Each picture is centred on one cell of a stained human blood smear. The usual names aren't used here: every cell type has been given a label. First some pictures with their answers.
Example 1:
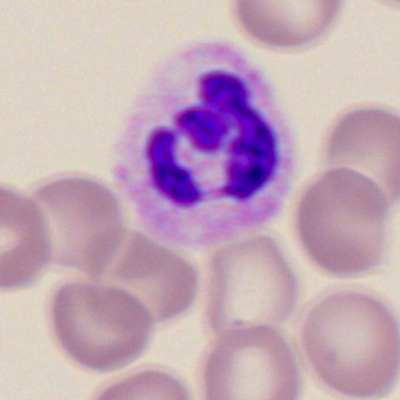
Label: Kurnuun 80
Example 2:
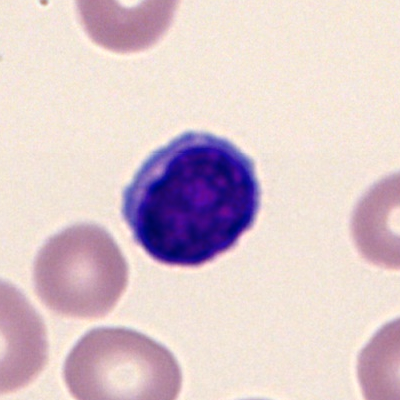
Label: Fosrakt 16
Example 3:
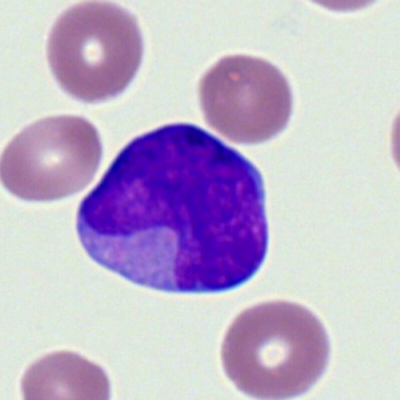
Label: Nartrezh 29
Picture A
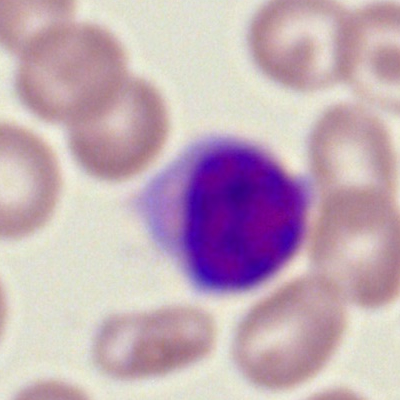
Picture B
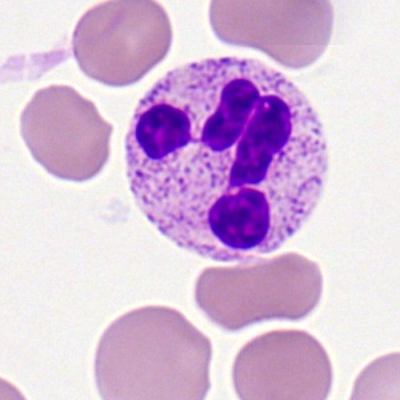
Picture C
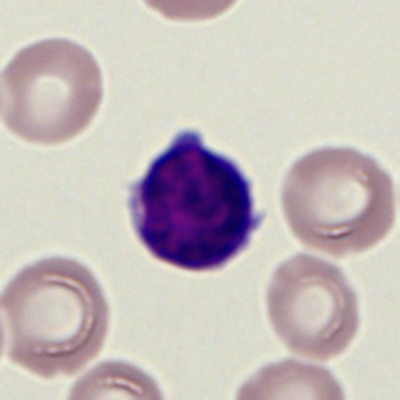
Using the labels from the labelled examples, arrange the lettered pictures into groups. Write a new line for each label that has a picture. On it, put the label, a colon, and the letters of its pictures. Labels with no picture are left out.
Kurnuun 80: B
Fosrakt 16: A, C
